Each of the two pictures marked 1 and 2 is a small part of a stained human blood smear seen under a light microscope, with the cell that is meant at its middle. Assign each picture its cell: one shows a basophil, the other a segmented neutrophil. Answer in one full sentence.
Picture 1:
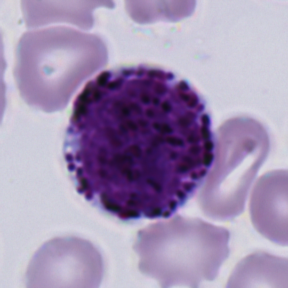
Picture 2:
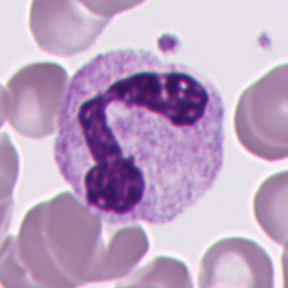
It is picture 1 that shows a basophil, and picture 2 that shows a segmented neutrophil.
